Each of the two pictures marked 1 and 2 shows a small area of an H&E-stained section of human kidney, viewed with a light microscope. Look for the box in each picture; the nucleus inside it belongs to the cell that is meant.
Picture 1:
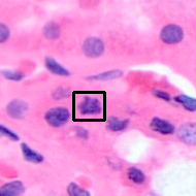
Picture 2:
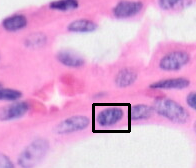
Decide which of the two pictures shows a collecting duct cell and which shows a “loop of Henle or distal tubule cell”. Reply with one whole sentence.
Picture 1 is of a “loop of Henle or distal tubule cell”, and picture 2 is of a collecting duct cell.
